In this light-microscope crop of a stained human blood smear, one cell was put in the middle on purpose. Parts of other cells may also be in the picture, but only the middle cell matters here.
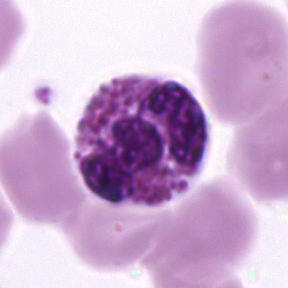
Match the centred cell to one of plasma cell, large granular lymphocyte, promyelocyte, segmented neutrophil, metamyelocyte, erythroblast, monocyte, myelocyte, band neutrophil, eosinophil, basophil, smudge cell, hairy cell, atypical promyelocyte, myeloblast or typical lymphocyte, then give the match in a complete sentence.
Framed in the middle of the crop is an eosinophil.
